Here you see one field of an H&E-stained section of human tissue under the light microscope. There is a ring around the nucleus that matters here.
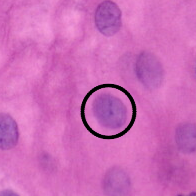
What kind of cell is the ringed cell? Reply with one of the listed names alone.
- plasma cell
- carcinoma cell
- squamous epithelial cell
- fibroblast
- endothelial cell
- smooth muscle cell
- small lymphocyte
squamous epithelial cell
